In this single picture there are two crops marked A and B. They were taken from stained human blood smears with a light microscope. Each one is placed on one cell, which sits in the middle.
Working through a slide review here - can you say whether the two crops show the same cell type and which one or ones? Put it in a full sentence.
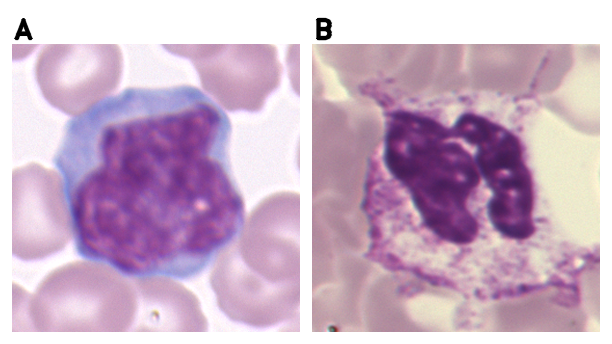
No, a monocyte occupies the middle of crop A, and a neutrophil the middle of crop B.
